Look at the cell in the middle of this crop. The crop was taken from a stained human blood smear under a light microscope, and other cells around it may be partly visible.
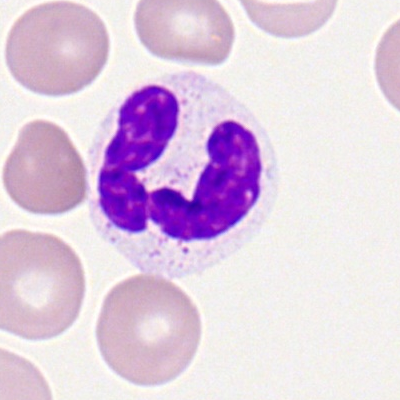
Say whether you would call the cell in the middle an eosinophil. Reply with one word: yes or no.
no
